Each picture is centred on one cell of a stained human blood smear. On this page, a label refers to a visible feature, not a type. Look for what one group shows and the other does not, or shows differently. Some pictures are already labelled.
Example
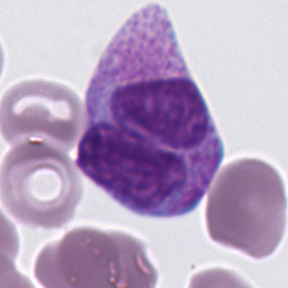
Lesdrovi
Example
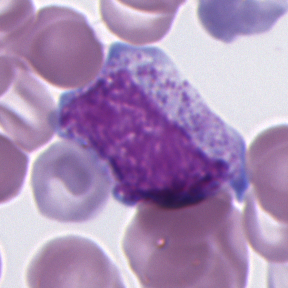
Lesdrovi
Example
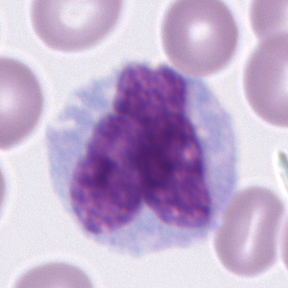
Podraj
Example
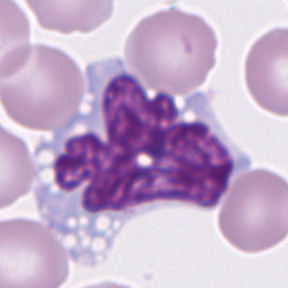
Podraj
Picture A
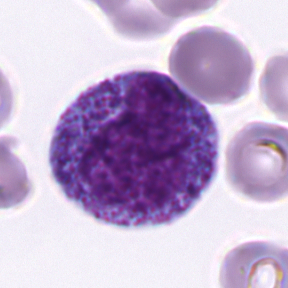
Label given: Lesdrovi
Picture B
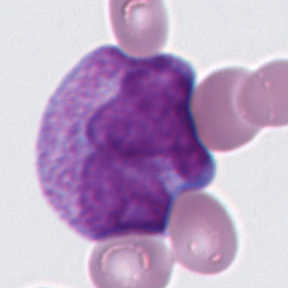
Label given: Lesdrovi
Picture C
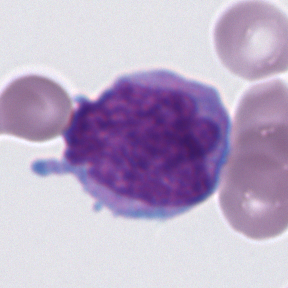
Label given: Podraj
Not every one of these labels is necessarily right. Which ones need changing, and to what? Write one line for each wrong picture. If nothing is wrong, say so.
All labels are correct.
